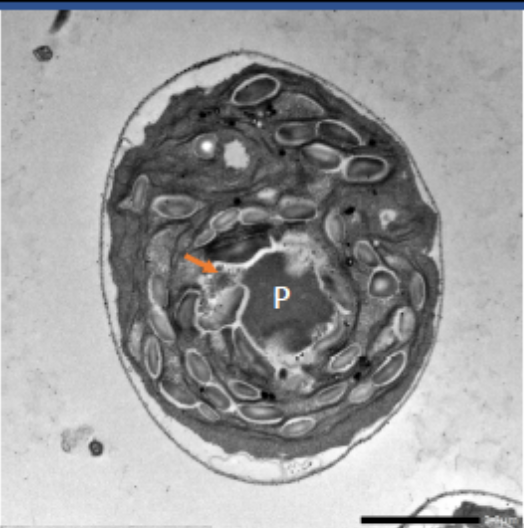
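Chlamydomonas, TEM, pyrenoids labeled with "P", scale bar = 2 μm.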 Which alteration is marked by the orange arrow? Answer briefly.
gaps in starch sheaths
